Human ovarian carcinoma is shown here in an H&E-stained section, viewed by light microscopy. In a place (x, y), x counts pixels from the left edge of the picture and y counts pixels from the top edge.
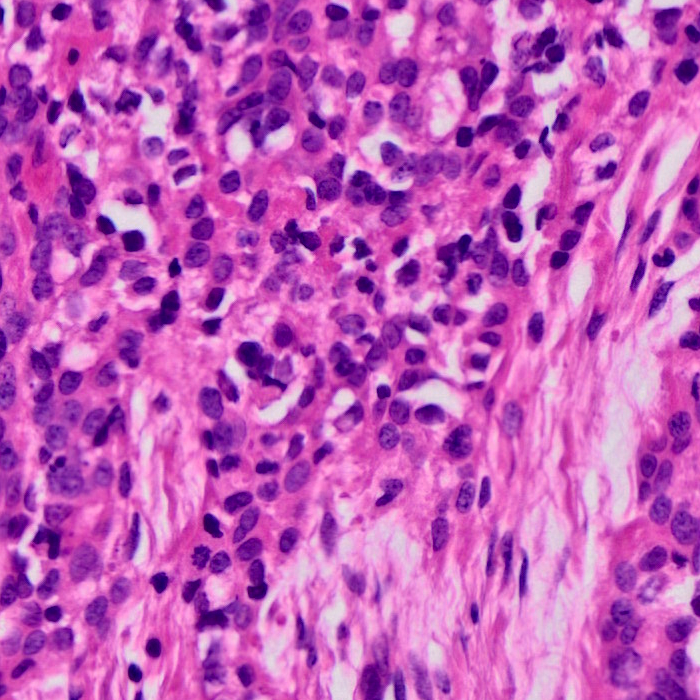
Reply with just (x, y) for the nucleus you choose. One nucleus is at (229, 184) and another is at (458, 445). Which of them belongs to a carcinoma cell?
(458, 445)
